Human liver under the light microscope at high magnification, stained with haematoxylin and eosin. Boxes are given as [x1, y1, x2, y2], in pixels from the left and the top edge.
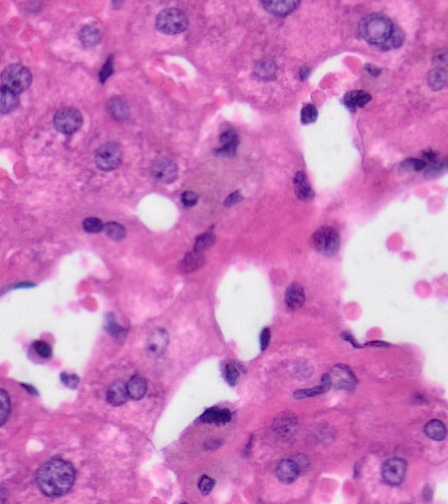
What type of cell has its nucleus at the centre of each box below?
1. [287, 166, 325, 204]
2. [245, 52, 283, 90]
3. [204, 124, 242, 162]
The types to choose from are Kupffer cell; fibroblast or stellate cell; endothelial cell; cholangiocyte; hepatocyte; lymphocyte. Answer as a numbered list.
1. fibroblast or stellate cell
2. hepatocyte
3. Kupffer cell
